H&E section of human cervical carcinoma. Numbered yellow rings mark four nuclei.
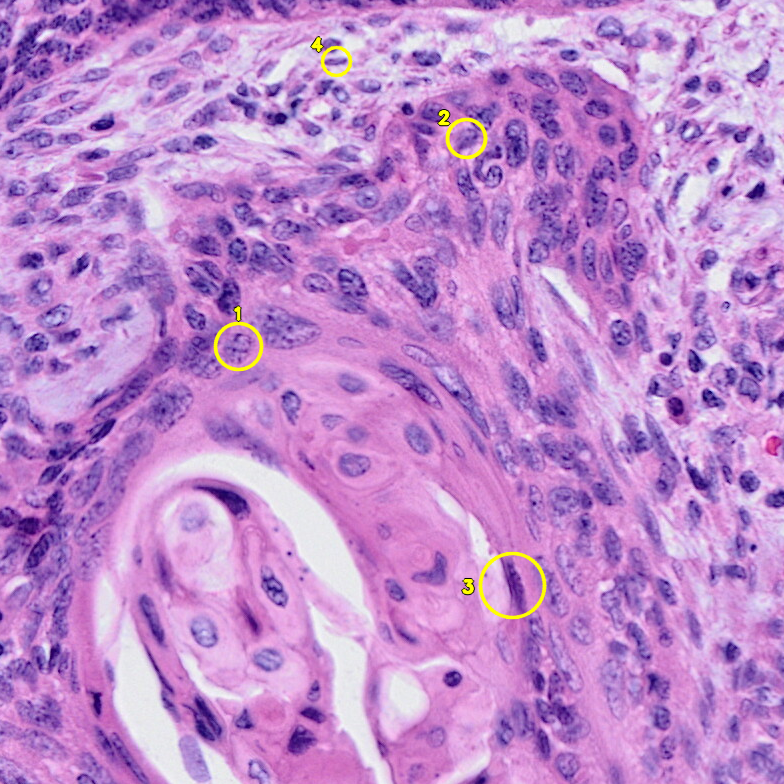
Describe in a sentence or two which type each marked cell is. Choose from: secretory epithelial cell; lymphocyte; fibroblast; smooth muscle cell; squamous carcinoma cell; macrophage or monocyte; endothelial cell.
Cell 1 is a squamous carcinoma cell, cell 2 is a squamous carcinoma cell, cell 3 is a squamous carcinoma cell and cell 4 is a fibroblast.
